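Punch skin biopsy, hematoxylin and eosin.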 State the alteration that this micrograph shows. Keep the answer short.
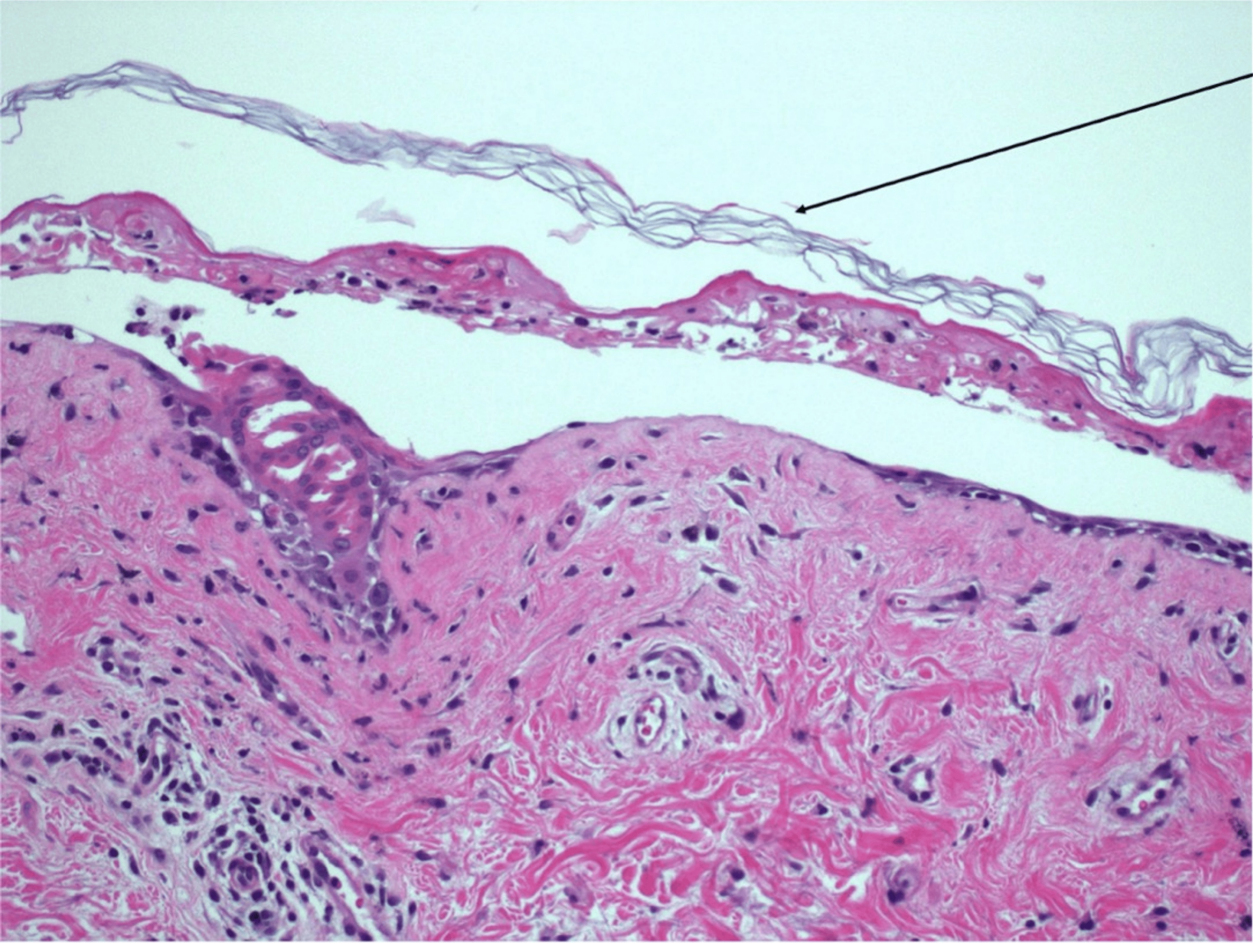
Full-thickness epidermal necrosis.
